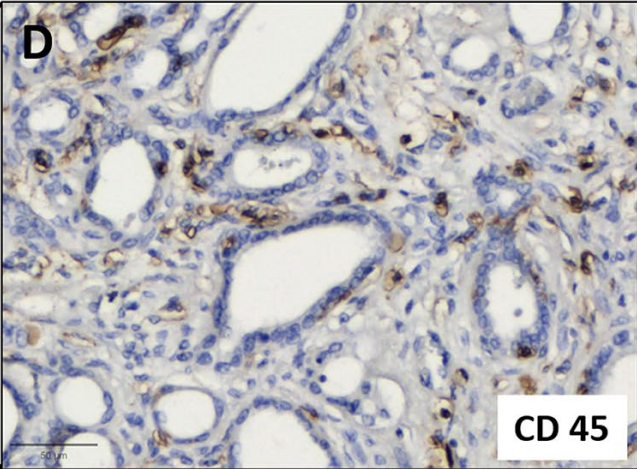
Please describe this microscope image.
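Irregular ducts with open lumina are lined by cuboidal epithelium with blue nuclei and are set in a fibrous stroma. Numerous small brown-stained cells, some round and some elongated, are scattered through the stroma and cluster around the ducts, while the epithelial lining stays unstained.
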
